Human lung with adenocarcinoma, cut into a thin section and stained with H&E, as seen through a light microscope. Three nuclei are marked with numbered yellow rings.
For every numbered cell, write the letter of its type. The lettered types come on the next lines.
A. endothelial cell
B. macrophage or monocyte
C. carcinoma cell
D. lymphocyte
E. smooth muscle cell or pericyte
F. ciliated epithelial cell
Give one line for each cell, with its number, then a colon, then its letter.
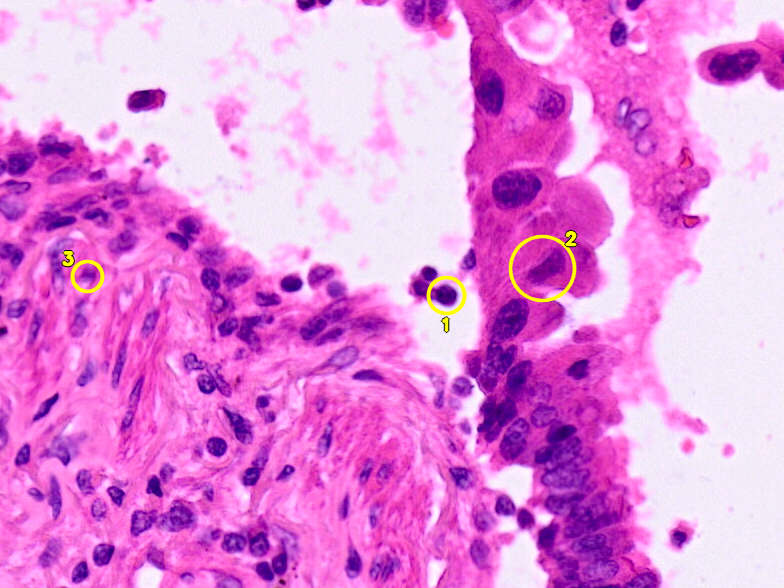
1: D
2: C
3: E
